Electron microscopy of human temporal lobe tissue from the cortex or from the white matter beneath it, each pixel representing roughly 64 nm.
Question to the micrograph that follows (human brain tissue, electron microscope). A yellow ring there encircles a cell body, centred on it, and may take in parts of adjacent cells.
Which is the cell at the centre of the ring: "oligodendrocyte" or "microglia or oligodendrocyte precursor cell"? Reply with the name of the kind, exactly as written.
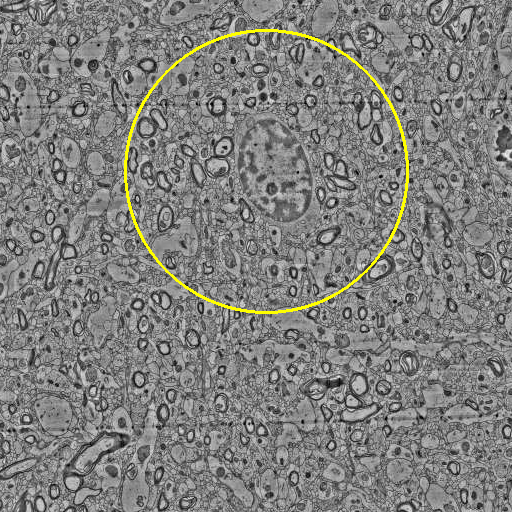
oligodendrocyte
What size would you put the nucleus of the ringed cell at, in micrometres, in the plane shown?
In this plane the nucleus measures roughly 6 by 4 micrometers.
